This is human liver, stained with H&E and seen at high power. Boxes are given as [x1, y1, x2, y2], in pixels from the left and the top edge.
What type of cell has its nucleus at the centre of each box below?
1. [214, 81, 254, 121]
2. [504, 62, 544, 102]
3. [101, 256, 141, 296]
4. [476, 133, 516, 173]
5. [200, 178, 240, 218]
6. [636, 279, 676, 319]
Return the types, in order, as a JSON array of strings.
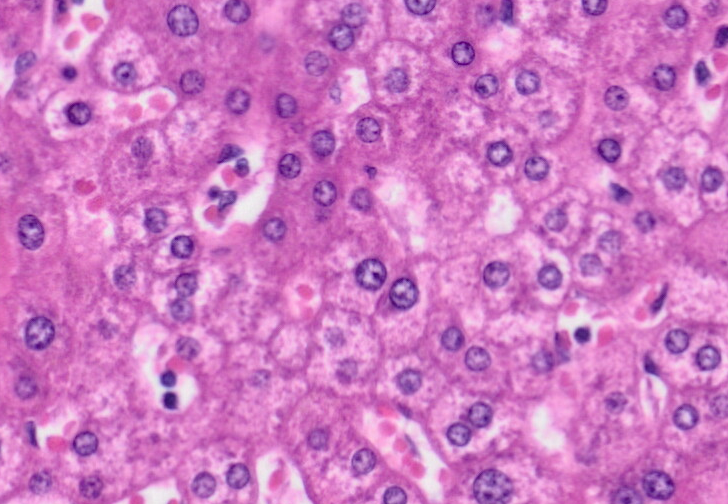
["hepatocyte", "hepatocyte", "hepatocyte", "hepatocyte", "Kupffer cell", "Kupffer cell"]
